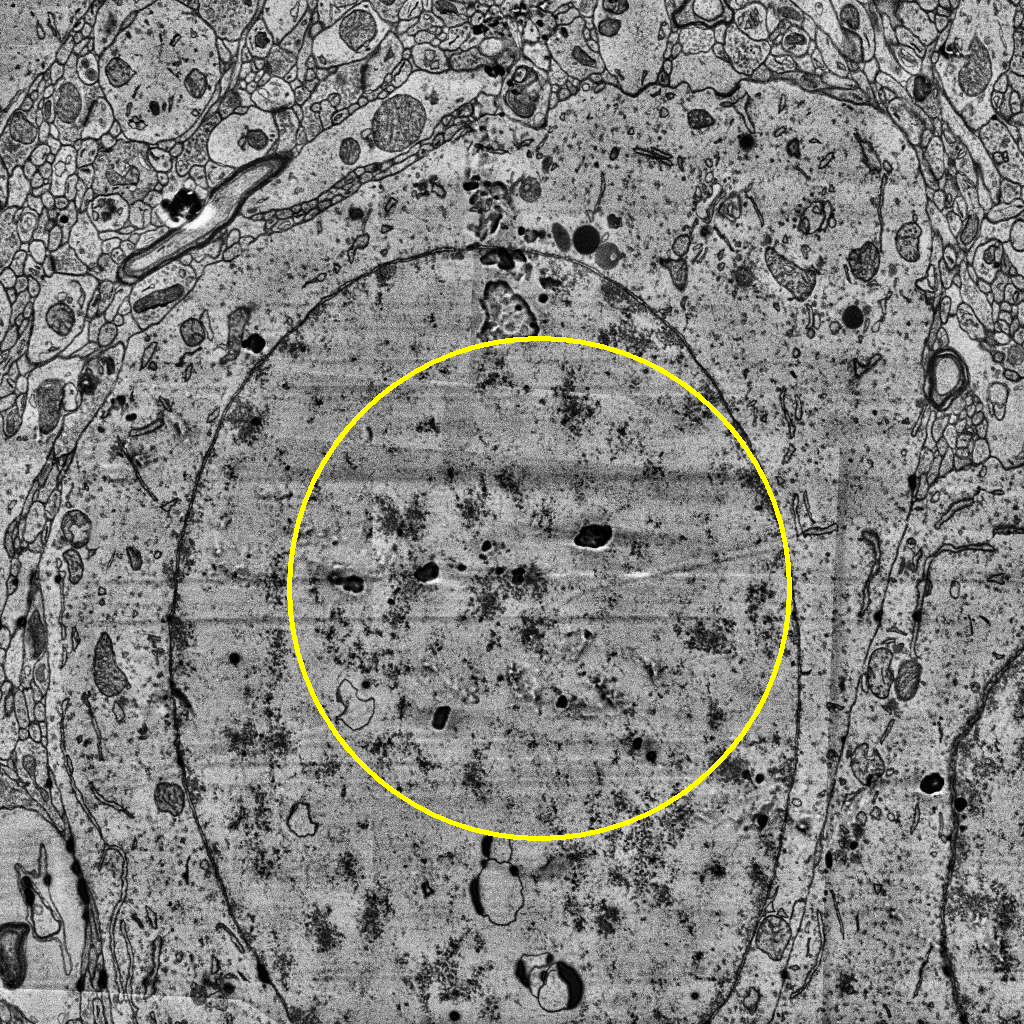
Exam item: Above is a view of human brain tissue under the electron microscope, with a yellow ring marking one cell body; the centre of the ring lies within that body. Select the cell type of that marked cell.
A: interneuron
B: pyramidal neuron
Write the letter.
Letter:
B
